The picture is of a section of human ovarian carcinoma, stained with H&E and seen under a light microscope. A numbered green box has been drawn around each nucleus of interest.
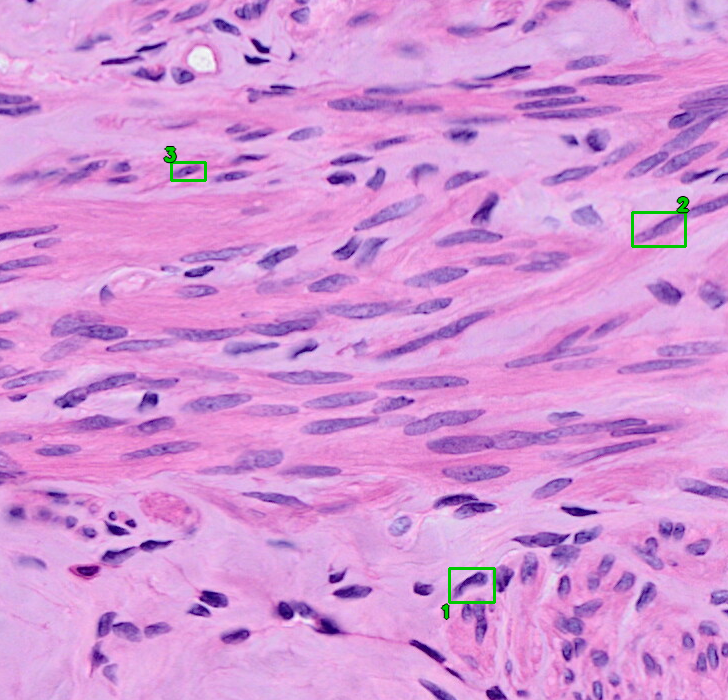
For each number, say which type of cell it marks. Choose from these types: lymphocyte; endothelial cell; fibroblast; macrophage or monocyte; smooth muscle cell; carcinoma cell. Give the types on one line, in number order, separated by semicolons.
fibroblast; smooth muscle cell; smooth muscle cell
